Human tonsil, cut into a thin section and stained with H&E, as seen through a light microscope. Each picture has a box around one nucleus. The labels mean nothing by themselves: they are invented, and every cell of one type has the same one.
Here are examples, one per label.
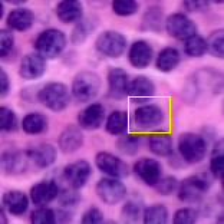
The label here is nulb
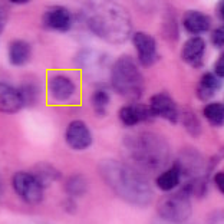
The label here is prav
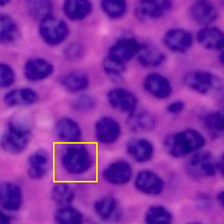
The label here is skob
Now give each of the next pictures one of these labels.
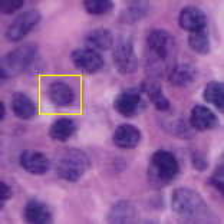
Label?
skob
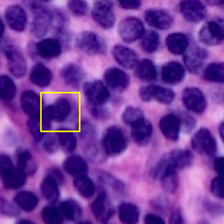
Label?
nulb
